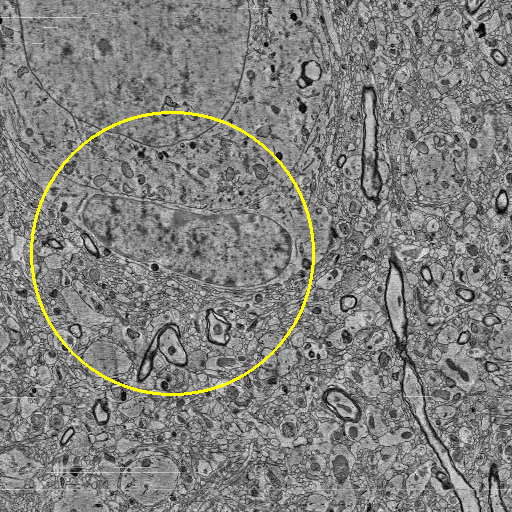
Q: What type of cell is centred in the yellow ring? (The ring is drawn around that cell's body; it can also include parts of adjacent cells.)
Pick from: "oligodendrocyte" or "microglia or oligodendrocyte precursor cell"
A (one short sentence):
The yellow ring is centred on a microglial cell or oligodendrocyte precursor cell.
